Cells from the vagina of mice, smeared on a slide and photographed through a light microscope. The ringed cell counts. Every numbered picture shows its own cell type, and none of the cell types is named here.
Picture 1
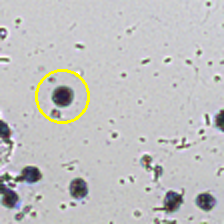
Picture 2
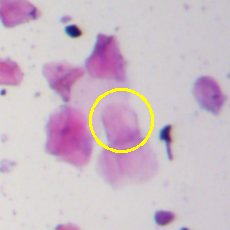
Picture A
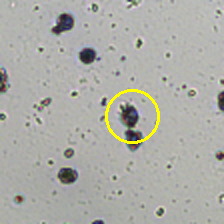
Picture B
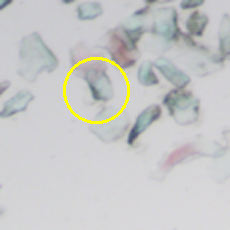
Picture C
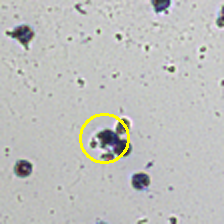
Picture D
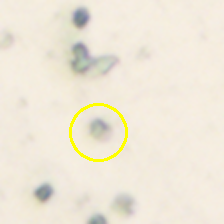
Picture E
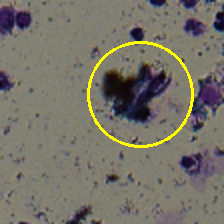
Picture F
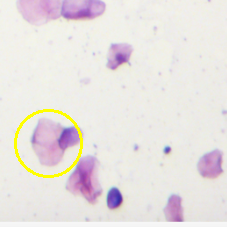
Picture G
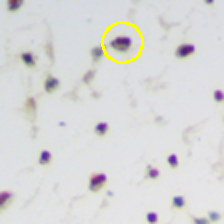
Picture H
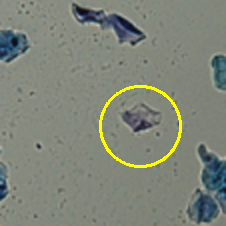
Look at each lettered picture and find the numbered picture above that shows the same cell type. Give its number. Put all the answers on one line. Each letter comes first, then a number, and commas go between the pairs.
A 1, B 2, C 1, D 1, E 2, F 2, G 1, H 2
